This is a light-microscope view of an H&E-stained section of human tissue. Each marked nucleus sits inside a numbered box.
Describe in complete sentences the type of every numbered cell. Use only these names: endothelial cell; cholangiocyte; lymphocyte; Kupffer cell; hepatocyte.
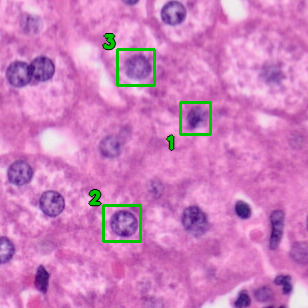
Cell 1 is an endothelial cell. Cells 2 and 3 are hepatocytes.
